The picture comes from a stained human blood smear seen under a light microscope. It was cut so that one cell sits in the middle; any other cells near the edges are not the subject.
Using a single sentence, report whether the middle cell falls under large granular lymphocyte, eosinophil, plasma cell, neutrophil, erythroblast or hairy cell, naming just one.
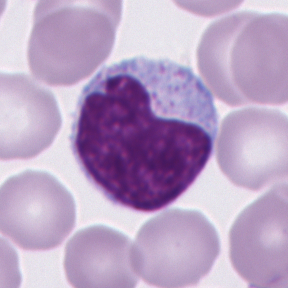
The cell the crop is centered on is a large granular lymphocyte.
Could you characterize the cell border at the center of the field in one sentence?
Instead of a smooth edge, this cell has an irregular one, ragged or with projections.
